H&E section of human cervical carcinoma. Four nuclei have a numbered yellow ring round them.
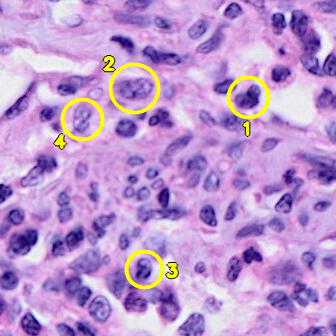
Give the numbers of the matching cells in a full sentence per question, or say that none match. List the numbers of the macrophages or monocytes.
In this section, the cells labelled 2 and 4 are macrophages or monocytes.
